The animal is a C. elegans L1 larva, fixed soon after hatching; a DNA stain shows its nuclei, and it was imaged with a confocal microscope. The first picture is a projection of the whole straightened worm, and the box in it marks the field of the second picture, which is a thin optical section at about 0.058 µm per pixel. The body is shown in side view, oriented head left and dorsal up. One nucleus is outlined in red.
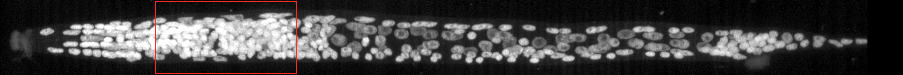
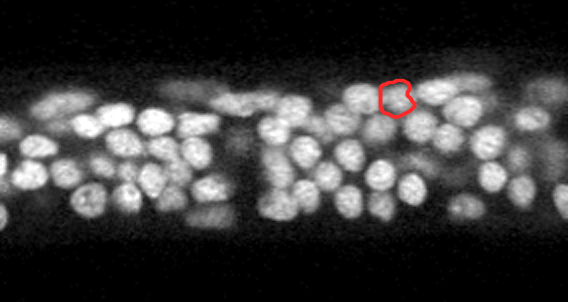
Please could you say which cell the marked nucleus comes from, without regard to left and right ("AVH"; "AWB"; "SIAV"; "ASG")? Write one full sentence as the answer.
The cell whose nucleus is marked is ASG, a neuron.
